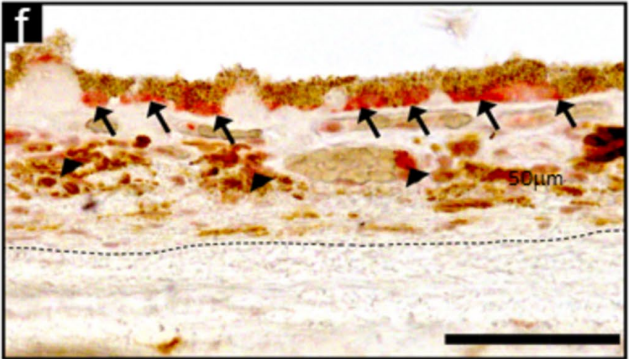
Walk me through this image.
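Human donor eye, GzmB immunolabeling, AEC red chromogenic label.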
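This brightfield section shows the outer retina, with the pigment epithelium on top and the choroid below. The epithelium is a band of cells crowded with brown granules. In places pale, rounded deposits lie under it and lift it into mounds. Beneath lies a looser choroid with vessel profiles. Large plump cells filled with brown to red granules are scattered through it. A dotted line marks where this cellular layer meets the pale, dense, almost cell-free sclera below.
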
